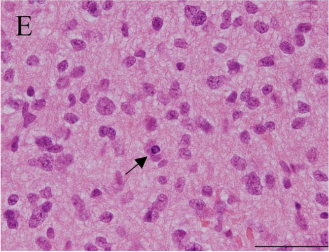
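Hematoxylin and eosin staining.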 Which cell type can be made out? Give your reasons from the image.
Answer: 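Atypical tumor cells with irregular nuclei. Cells lie in a pale pink fibrillary background.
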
